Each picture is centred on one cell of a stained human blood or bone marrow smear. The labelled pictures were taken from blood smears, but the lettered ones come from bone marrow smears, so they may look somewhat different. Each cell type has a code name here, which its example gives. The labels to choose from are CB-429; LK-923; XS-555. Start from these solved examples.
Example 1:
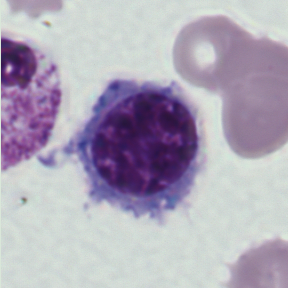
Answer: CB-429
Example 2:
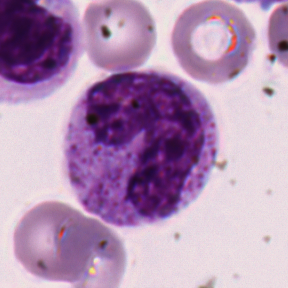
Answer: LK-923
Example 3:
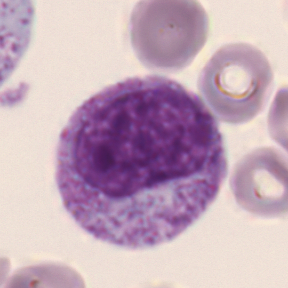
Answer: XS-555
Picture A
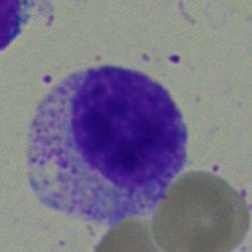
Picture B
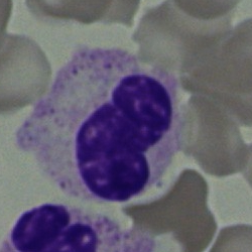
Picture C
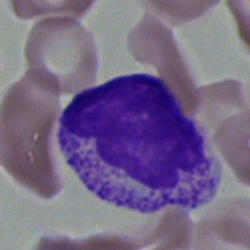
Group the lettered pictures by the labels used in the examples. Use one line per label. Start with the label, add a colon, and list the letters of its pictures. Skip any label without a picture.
LK-923: B
XS-555: A, C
